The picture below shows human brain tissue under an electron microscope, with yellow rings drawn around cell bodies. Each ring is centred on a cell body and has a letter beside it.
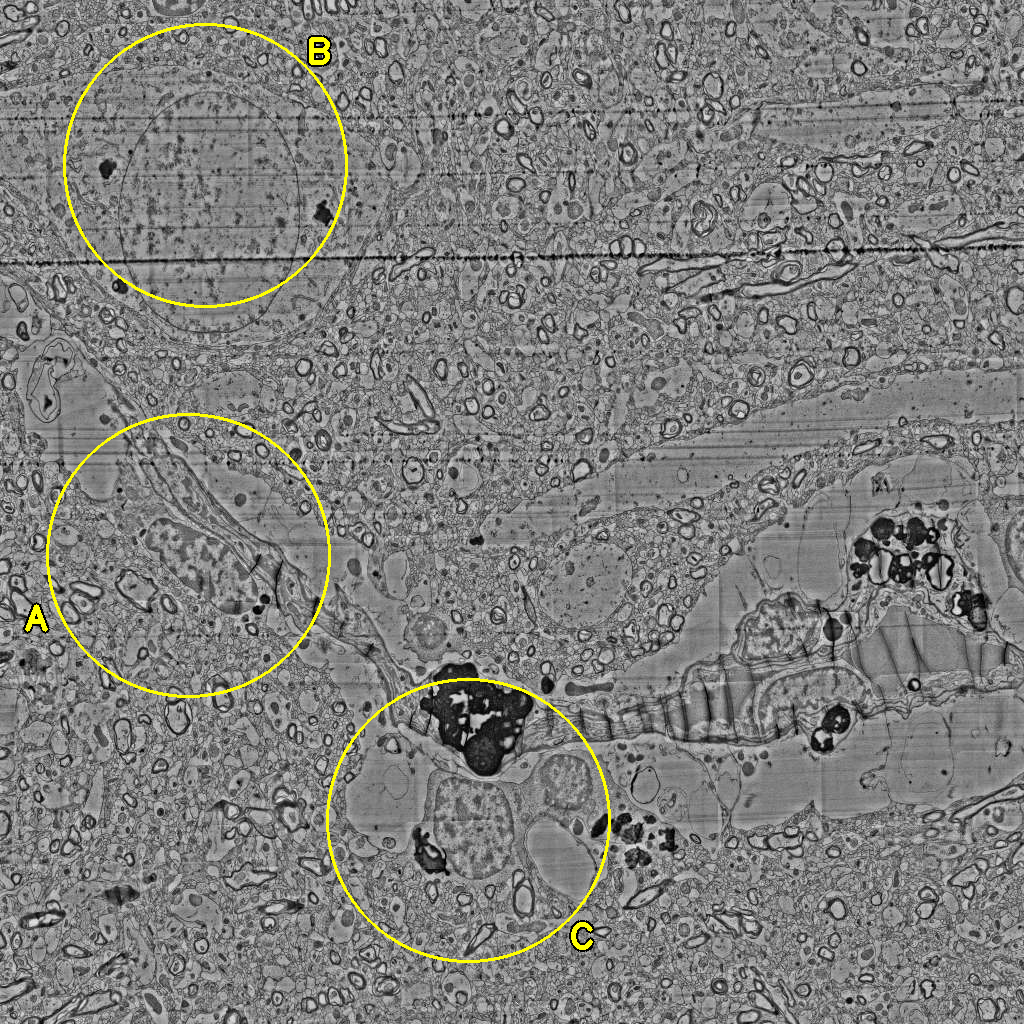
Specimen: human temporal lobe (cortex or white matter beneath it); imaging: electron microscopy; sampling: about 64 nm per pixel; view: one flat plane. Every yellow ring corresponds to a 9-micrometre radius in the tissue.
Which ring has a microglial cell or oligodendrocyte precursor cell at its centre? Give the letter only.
A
